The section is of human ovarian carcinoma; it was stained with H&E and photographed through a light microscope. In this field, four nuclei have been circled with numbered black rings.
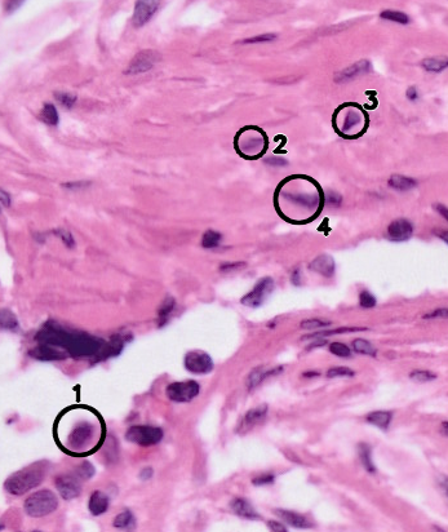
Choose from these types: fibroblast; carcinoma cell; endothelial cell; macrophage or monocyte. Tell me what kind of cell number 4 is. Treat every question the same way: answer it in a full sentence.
It is as a fibroblast that the cell numbered 4 is identified.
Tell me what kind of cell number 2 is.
Cell 2, among those numbered, is a fibroblast.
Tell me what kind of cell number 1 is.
The numeral 1 marks a carcinoma cell in this section.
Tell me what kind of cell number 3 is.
The cell numbered 3 represents a fibroblast.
